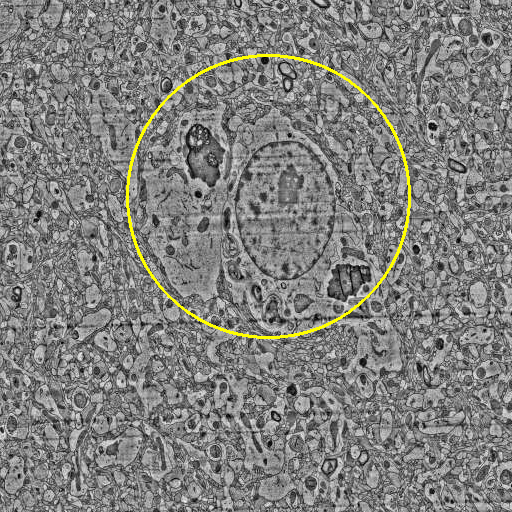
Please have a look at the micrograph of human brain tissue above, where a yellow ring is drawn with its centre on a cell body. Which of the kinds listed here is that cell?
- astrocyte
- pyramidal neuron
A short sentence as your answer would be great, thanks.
At the centre of the ring sits an astrocyte.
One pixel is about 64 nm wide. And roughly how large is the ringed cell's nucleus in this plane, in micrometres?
About 9 micrometres by about 6 micrometres in this plane.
